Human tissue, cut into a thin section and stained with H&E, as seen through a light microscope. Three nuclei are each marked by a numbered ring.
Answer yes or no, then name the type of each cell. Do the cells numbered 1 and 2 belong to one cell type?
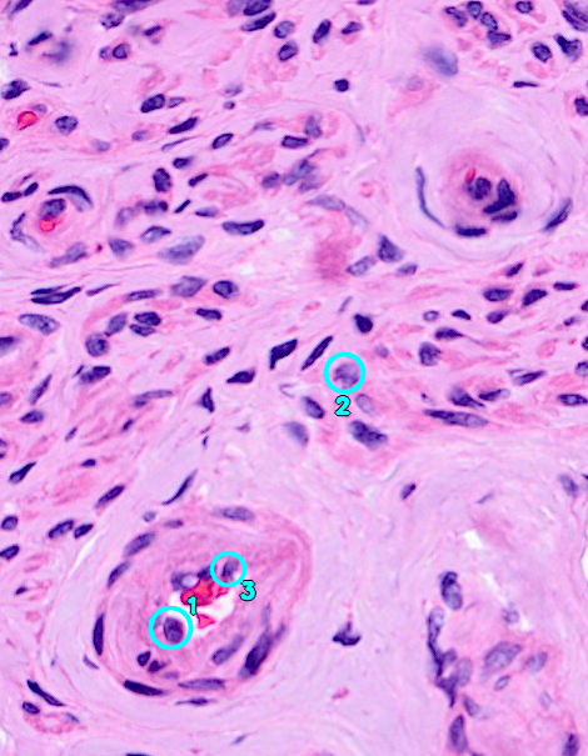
No; cell 1 is an endothelial cell, and cell 2 is a smooth muscle cell.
